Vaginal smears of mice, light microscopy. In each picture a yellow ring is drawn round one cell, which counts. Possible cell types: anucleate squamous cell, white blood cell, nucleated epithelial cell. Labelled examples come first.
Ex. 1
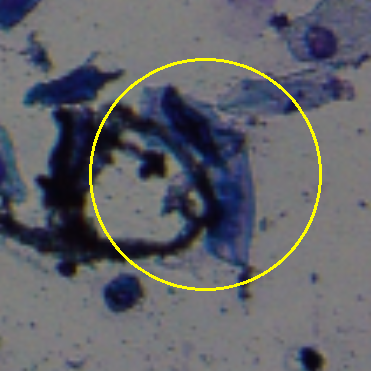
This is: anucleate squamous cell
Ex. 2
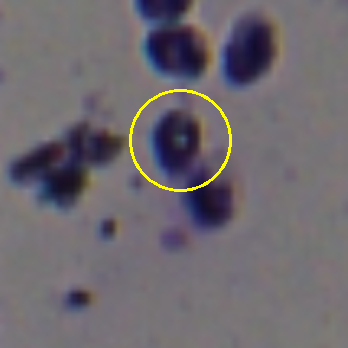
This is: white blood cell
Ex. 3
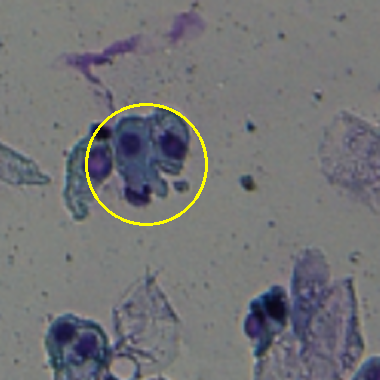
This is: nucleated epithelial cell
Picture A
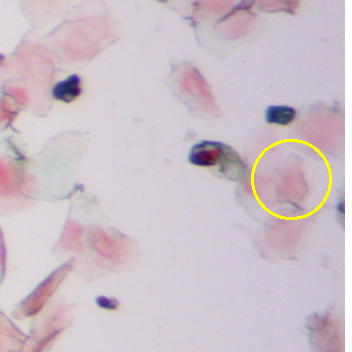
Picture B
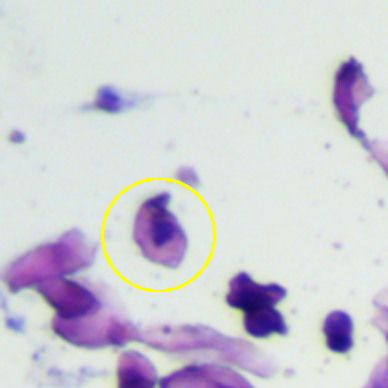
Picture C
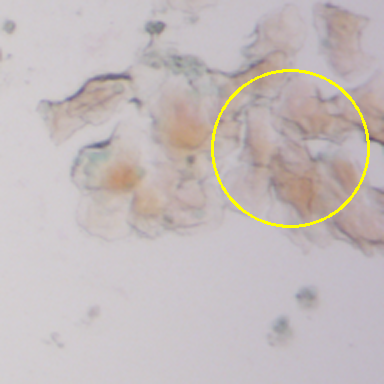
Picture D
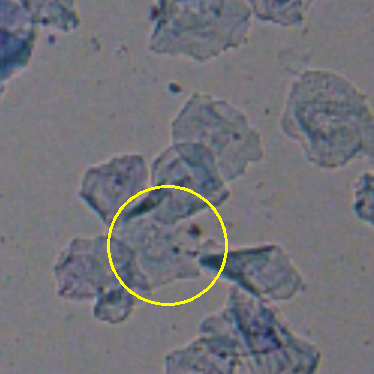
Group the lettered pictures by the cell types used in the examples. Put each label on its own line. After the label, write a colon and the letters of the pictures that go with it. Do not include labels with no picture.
anucleate squamous cell: A, C, D
nucleated epithelial cell: B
